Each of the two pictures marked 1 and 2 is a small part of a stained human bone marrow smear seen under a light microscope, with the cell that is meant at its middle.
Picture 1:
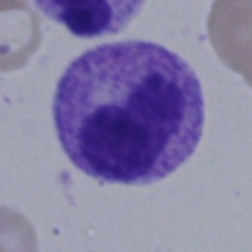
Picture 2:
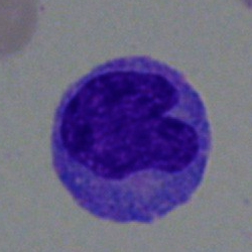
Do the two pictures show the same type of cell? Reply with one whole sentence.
No. Picture 1 shows a metamyelocyte, but picture 2 shows a monocyte.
